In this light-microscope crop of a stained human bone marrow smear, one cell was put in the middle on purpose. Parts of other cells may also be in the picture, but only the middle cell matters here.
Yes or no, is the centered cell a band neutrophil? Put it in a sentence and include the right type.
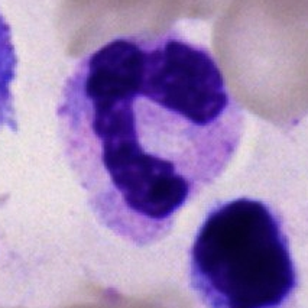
No, the centrally located cell is a segmented neutrophil rather than a band neutrophil.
